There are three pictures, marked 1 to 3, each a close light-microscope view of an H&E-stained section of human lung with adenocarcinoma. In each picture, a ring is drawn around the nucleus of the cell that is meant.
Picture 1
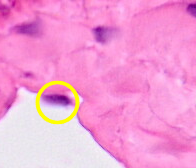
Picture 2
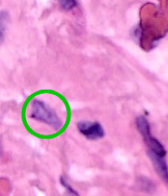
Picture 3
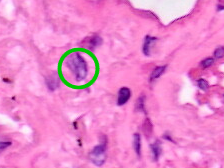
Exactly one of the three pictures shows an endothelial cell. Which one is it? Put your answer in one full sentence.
Picture 1 shows the endothelial cell.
